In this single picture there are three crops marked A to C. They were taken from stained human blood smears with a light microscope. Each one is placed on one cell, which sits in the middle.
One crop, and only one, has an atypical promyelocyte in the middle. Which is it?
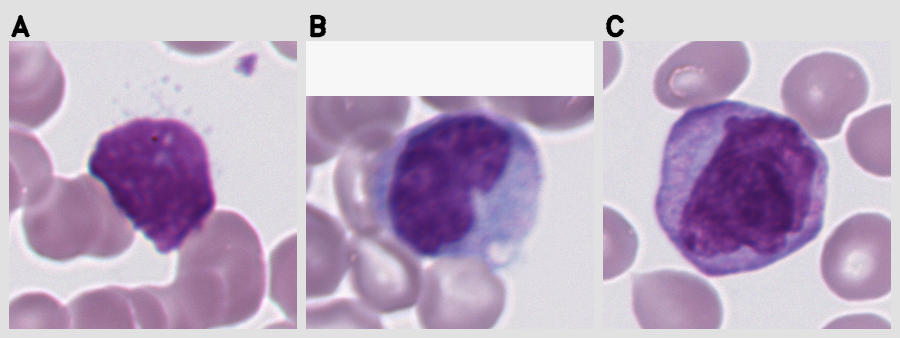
C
